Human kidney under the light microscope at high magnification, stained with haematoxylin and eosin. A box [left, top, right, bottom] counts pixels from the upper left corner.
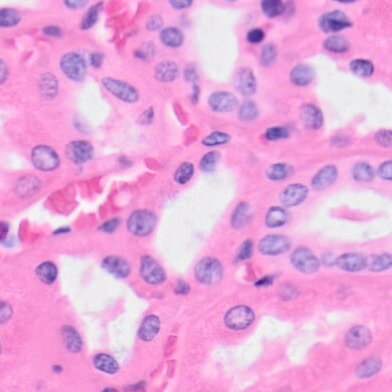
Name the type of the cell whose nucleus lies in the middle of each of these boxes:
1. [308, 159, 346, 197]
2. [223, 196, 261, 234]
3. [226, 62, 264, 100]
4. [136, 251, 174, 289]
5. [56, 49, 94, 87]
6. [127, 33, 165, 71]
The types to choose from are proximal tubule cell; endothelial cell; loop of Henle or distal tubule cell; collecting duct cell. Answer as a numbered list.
1. collecting duct cell
2. loop of Henle or distal tubule cell
3. collecting duct cell
4. loop of Henle or distal tubule cell
5. collecting duct cell
6. collecting duct cell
